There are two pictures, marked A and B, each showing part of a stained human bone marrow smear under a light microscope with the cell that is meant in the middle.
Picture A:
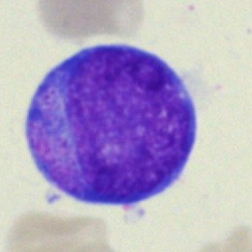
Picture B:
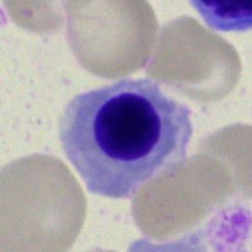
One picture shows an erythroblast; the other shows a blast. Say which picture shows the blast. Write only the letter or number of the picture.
A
